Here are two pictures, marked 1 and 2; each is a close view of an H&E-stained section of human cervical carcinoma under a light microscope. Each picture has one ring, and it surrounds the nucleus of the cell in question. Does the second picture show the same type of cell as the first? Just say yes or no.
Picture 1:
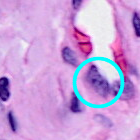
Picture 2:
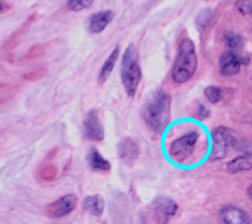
no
